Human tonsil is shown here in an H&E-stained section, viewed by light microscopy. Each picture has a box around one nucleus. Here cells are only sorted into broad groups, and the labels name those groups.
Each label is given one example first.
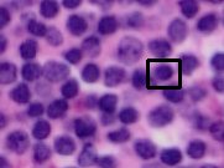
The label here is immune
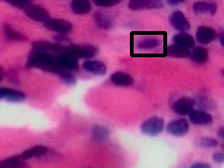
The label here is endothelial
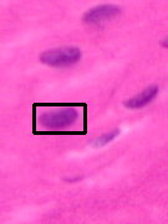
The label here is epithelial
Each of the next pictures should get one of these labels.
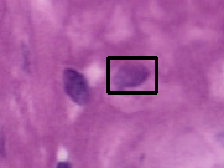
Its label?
epithelial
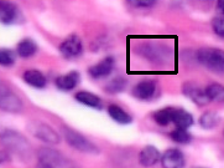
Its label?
endothelial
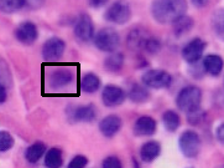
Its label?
endothelial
